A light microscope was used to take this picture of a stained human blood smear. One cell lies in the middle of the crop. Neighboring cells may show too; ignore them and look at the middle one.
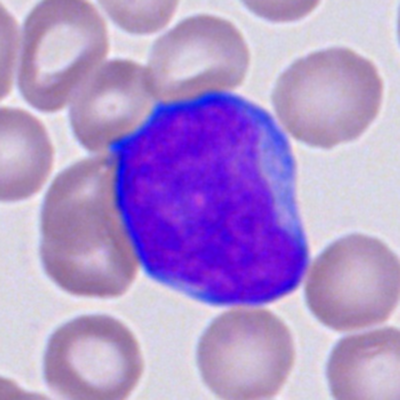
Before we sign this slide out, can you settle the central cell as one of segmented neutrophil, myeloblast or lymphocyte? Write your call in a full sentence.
For this crop, the cell in the middle is a myeloblast.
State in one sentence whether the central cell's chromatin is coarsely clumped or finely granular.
In this nucleus, the chromatin is arranged in coarse clumps.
